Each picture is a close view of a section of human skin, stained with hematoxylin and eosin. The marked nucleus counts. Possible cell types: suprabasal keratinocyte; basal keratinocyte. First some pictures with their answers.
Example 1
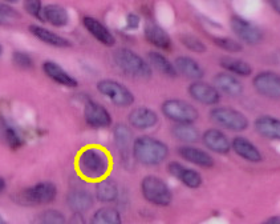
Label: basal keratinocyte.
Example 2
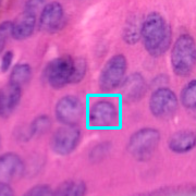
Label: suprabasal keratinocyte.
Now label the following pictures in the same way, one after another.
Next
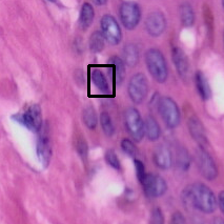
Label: basal keratinocyte.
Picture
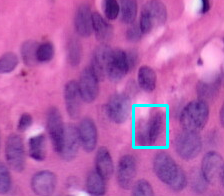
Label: basal keratinocyte.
